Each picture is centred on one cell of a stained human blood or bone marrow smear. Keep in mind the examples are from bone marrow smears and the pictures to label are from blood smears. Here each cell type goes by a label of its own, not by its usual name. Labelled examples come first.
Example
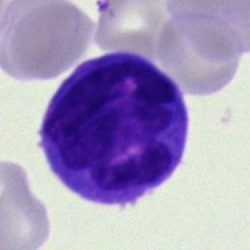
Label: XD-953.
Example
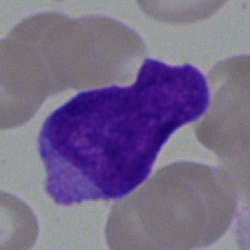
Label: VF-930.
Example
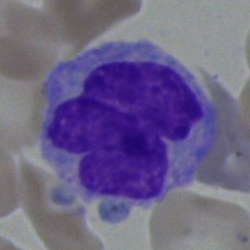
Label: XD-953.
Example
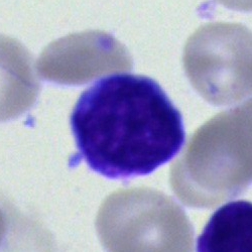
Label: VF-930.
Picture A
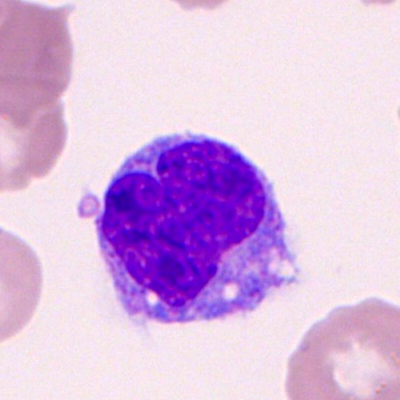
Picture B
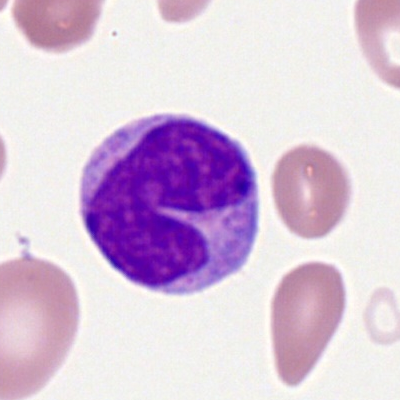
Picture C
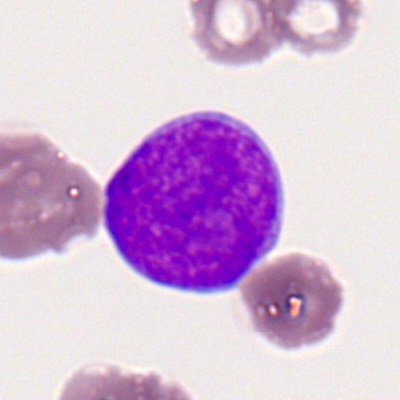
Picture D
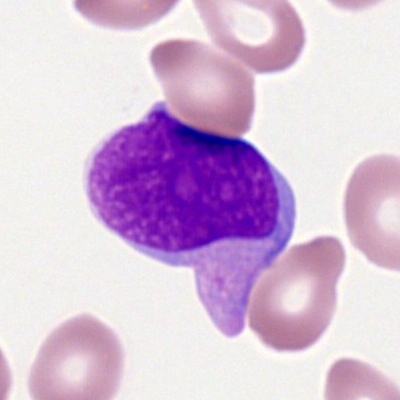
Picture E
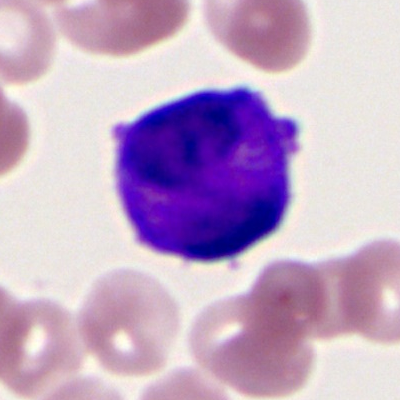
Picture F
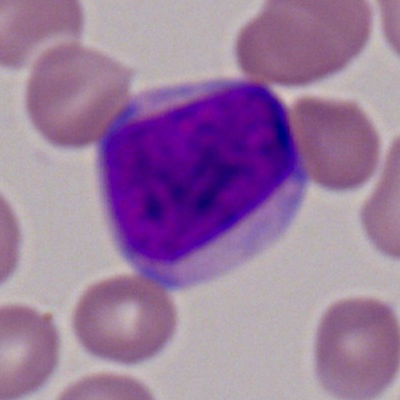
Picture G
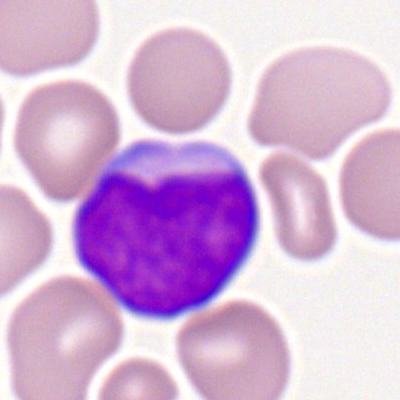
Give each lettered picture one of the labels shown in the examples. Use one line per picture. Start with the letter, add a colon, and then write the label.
A: XD-953.
B: XD-953.
C: VF-930.
D: VF-930.
E: VF-930.
F: VF-930.
G: VF-930.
